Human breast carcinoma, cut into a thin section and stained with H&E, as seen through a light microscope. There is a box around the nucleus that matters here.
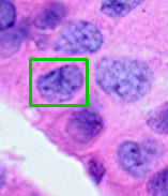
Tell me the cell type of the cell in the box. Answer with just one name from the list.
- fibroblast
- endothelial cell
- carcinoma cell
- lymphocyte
carcinoma cell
